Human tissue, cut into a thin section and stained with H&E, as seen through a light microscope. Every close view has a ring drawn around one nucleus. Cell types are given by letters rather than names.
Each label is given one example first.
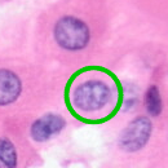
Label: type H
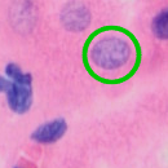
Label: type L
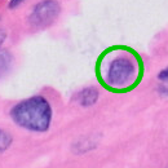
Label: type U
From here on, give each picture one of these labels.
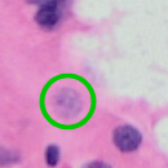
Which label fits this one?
type U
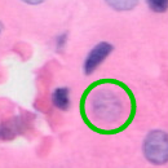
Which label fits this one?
type L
